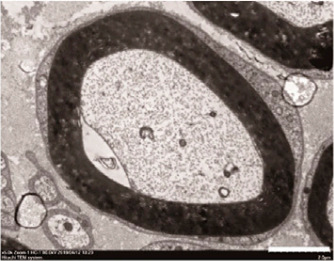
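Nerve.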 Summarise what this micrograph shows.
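The axon is enclosed by a thick, evenly dark, compact myelin sheath forming a nearly round ring. The axoplasm inside is pale with fine filamentous and granular texture and a few small vesicular profiles. A thin rim of Schwann cell cytoplasm surrounds the sheath. Smaller axon profiles and parts of neighbouring myelinated fibres lie at the edges of the field.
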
